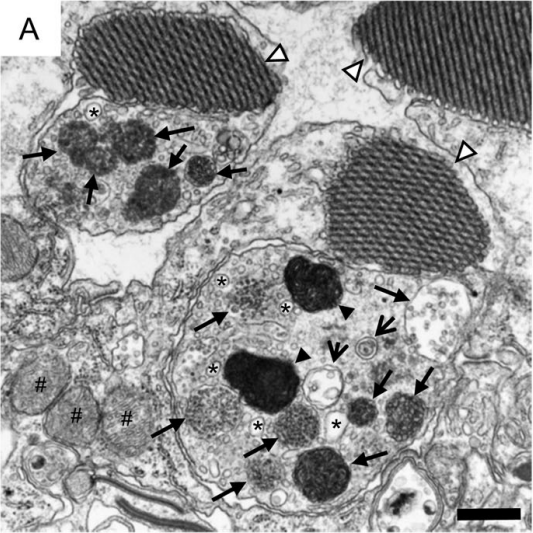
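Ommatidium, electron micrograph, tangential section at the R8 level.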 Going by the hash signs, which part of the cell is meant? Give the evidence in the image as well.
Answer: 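Oval organelles with internal cristae-like membrane folds. They lie at the left edge outside the large compartments.
Conclusion: Mitochondria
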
